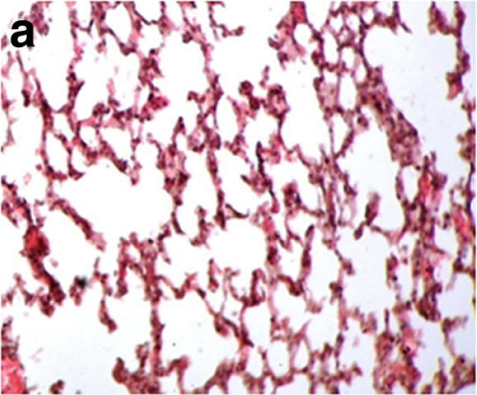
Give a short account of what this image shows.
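This is lung tissue, seen as a delicate lacy network of thin pink walls, the alveolar septa, around many open white air spaces, the alveoli. The walls are only a few cells thick, and small dark purple nuclei sit scattered along them, belonging to the cells that line the air spaces and the capillaries within the walls. Here and there a deeper red patch marks blood within a small vessel.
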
